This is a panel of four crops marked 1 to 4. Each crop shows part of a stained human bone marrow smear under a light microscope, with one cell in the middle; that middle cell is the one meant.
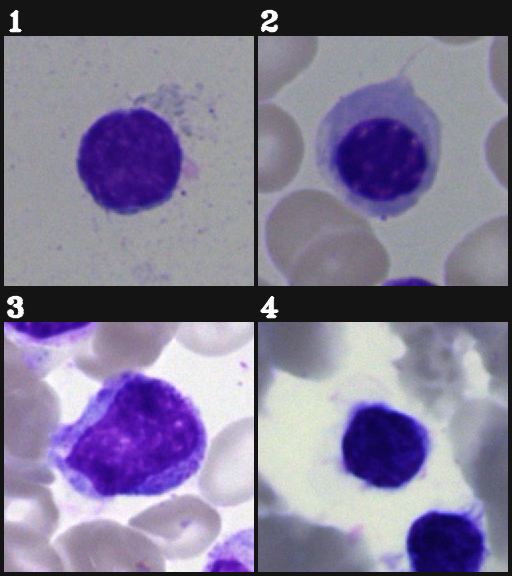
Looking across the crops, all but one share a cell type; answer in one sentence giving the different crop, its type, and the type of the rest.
The set is made up of lymphocytes, with the single exception of crop 2, which is an erythroblast.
